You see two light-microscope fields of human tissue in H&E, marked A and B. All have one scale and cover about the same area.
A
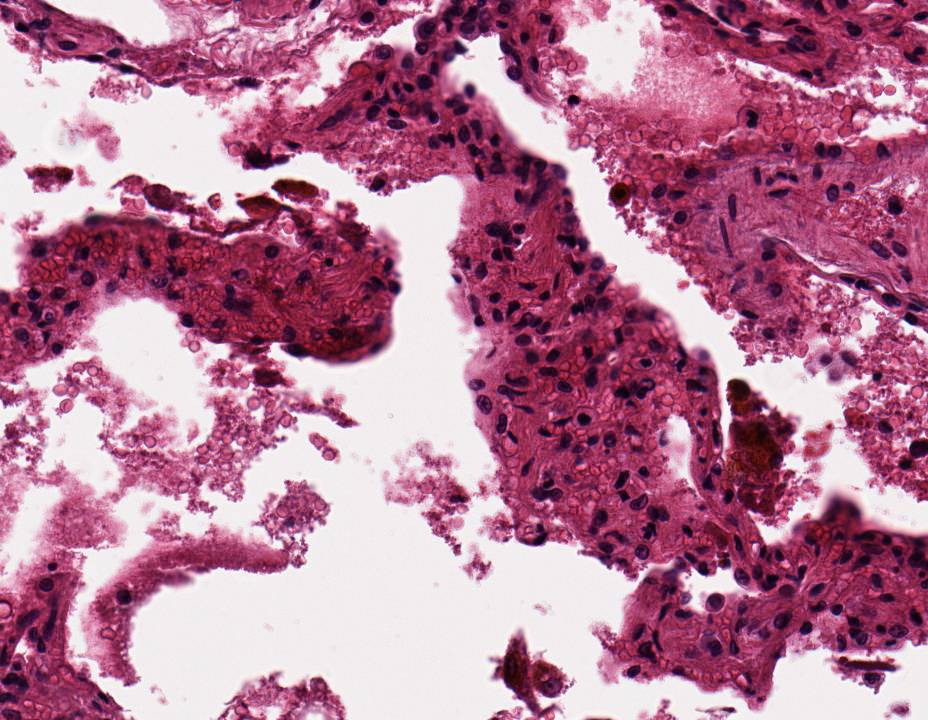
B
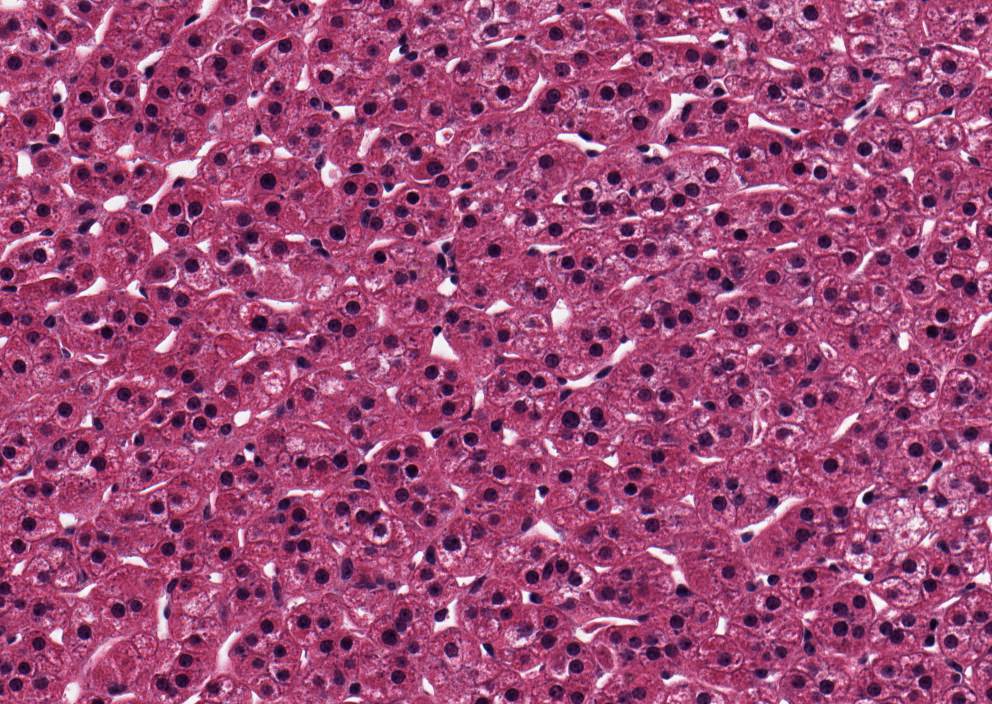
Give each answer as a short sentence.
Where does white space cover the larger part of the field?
Field A has more white space.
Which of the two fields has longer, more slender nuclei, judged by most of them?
On the whole the nuclei of field A are more drawn out than those of field B.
